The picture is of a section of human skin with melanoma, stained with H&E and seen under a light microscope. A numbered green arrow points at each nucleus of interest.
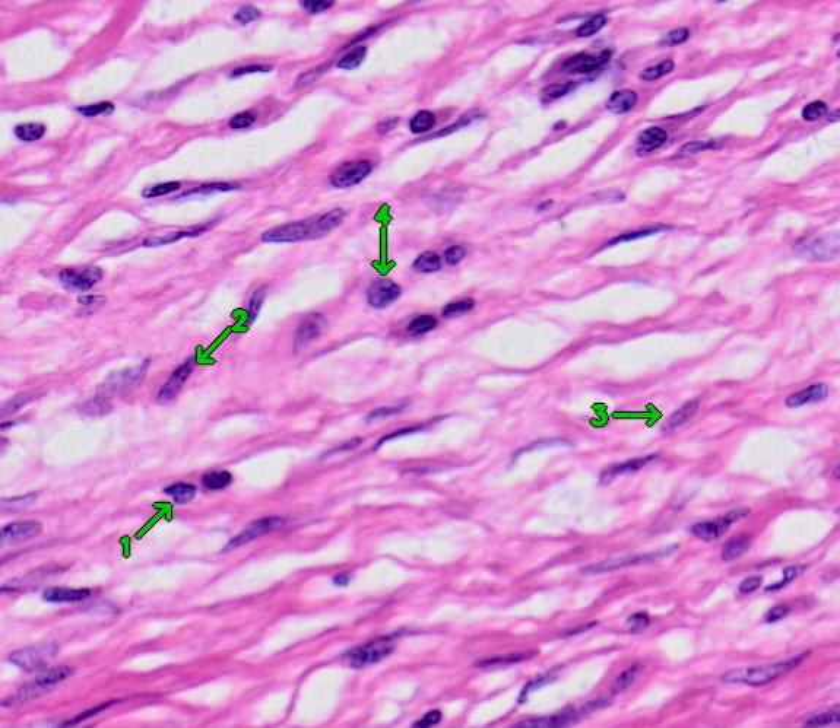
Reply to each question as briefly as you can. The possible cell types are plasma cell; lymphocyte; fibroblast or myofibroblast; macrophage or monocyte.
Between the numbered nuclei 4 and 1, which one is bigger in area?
4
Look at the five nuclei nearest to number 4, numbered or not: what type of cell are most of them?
plasma cell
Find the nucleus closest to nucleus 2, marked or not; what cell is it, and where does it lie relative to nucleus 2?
a fibroblast or myofibroblast to the left of nucleus 2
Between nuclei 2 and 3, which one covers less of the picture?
3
